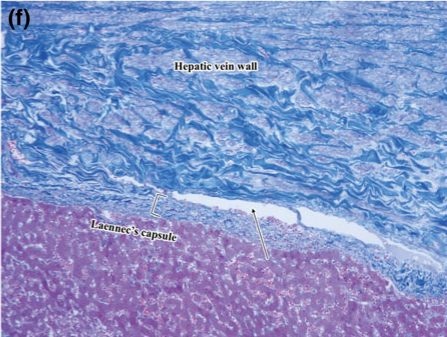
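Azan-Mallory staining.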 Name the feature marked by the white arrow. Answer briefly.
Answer: gap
